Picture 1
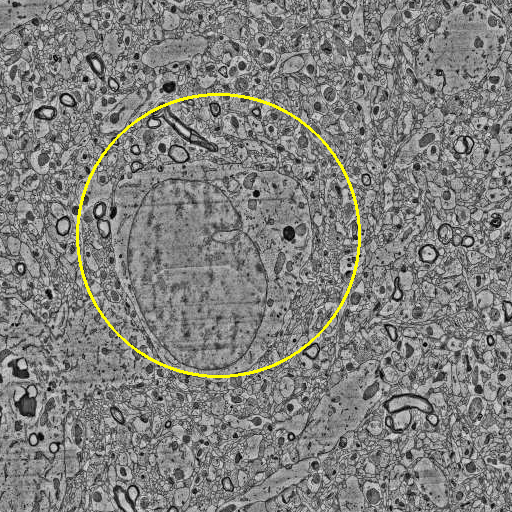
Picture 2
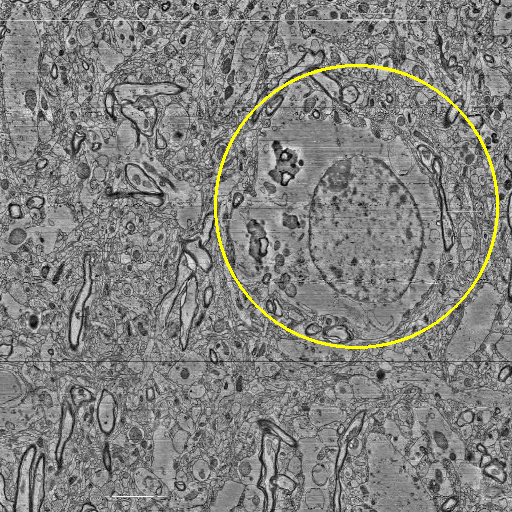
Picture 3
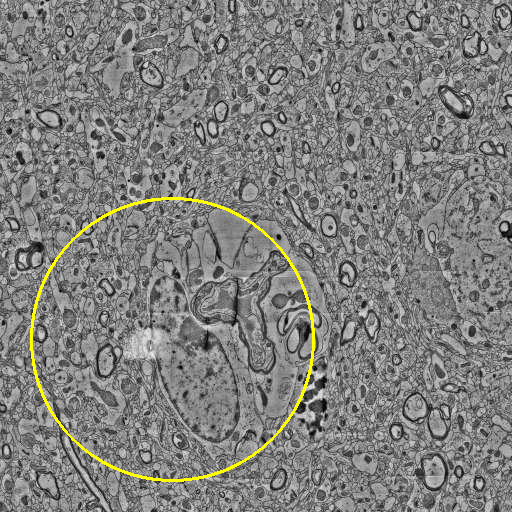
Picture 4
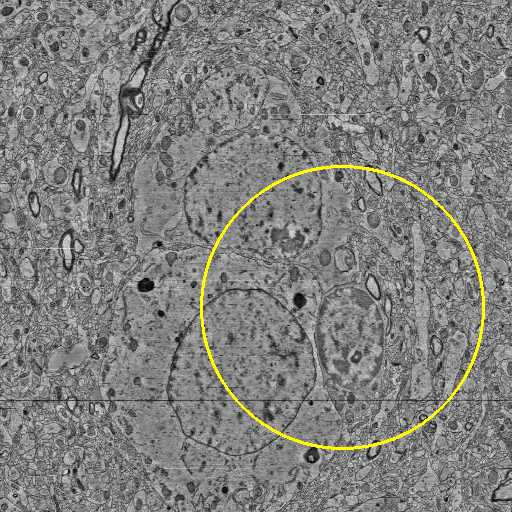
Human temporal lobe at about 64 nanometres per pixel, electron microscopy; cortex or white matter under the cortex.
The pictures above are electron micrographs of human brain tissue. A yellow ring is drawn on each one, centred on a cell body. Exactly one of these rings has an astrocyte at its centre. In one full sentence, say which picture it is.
Picture 2 has it at the centre of its ring.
